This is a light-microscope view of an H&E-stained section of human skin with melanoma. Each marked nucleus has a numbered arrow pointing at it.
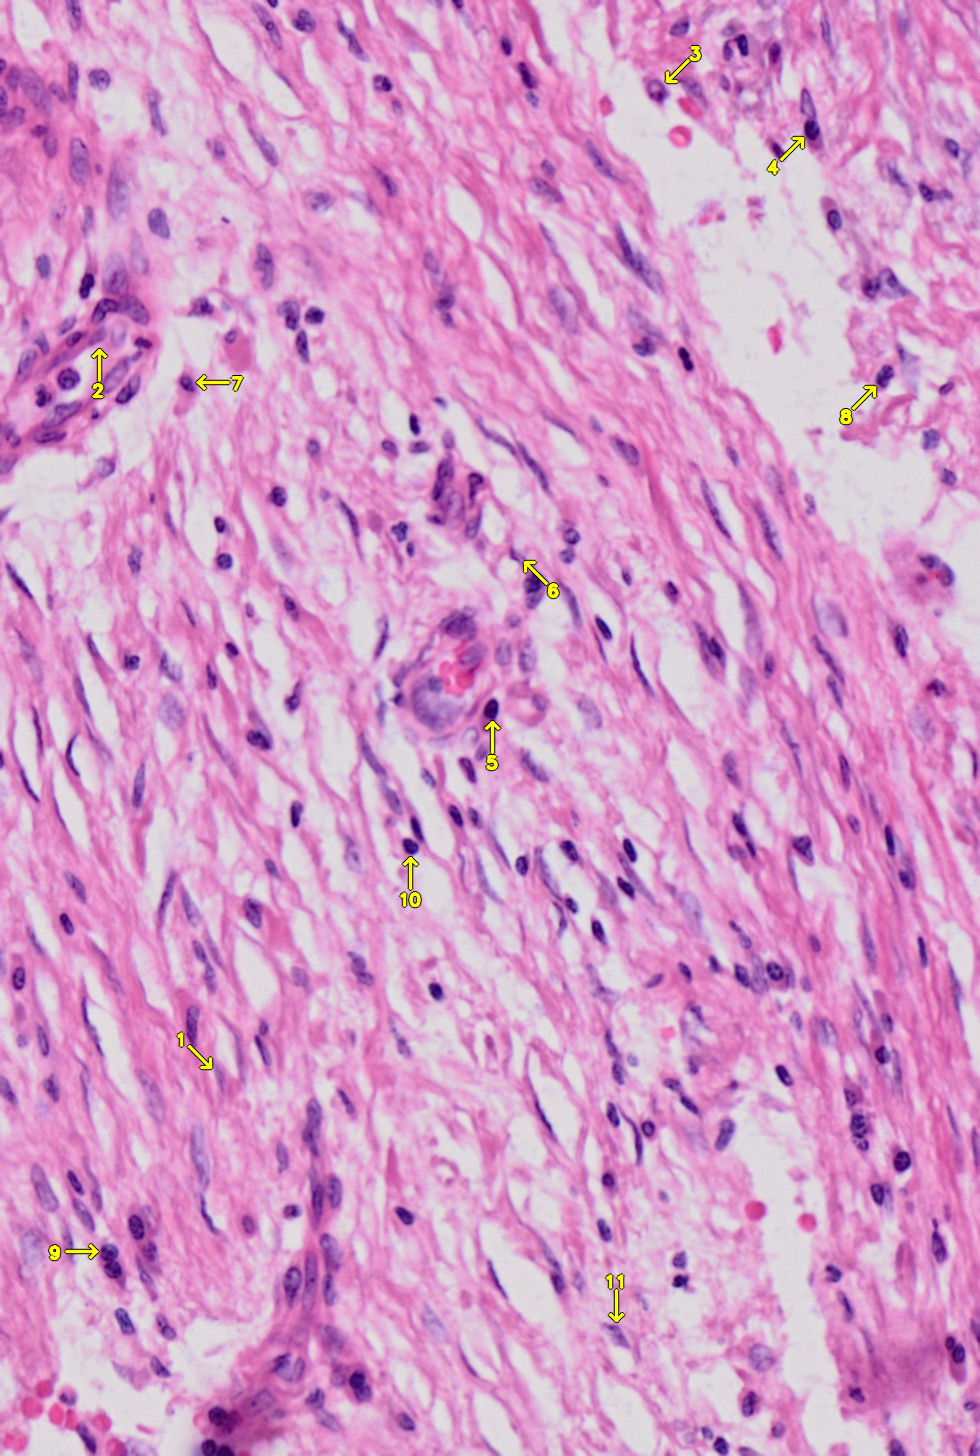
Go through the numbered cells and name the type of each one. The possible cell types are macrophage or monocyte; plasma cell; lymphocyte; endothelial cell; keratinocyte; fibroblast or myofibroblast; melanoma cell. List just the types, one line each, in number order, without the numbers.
fibroblast or myofibroblast
endothelial cell
melanoma cell
plasma cell
plasma cell
fibroblast or myofibroblast
macrophage or monocyte
lymphocyte
plasma cell
lymphocyte
fibroblast or myofibroblast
